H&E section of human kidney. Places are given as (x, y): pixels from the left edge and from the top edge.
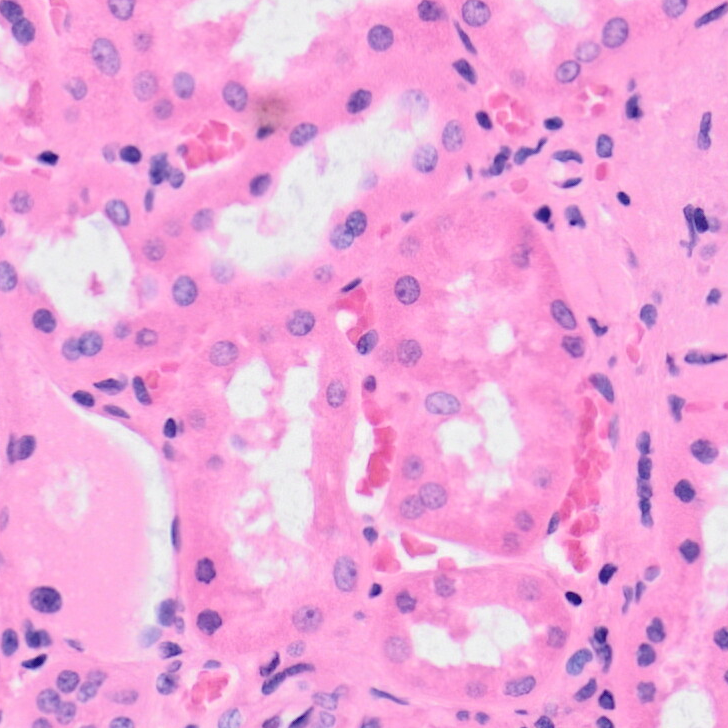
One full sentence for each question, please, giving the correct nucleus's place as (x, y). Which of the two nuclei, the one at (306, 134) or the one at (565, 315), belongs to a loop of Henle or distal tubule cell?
The nucleus located at (306, 134) is the one held within a loop of Henle or distal tubule cell.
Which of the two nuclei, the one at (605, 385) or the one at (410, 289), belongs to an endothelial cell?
The nucleus at position (605, 385) belongs to an endothelial cell.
